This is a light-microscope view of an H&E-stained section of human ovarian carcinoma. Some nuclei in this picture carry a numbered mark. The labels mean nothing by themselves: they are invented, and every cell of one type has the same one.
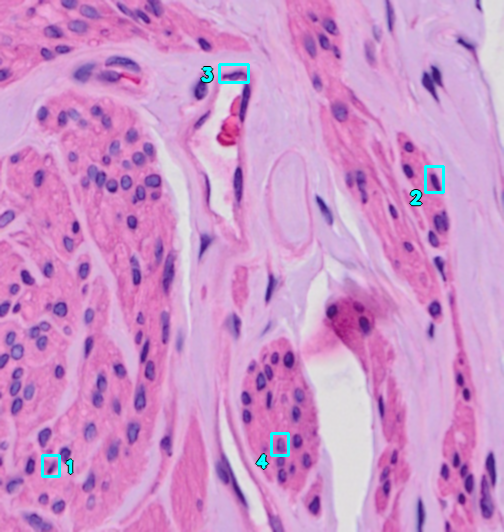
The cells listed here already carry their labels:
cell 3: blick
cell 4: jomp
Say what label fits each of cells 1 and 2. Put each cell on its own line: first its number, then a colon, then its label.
1: jomp
2: jomp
